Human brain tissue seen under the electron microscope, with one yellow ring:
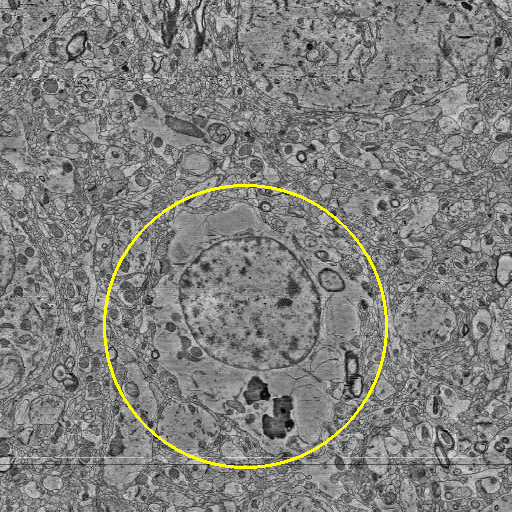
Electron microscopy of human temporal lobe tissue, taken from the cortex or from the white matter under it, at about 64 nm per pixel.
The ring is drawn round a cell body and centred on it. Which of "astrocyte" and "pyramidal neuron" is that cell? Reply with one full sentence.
The picture shows an astrocyte at the very centre of the yellow ring.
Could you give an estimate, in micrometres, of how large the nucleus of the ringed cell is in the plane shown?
Roughly 9 micrometres across for the nucleus, in this plane.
